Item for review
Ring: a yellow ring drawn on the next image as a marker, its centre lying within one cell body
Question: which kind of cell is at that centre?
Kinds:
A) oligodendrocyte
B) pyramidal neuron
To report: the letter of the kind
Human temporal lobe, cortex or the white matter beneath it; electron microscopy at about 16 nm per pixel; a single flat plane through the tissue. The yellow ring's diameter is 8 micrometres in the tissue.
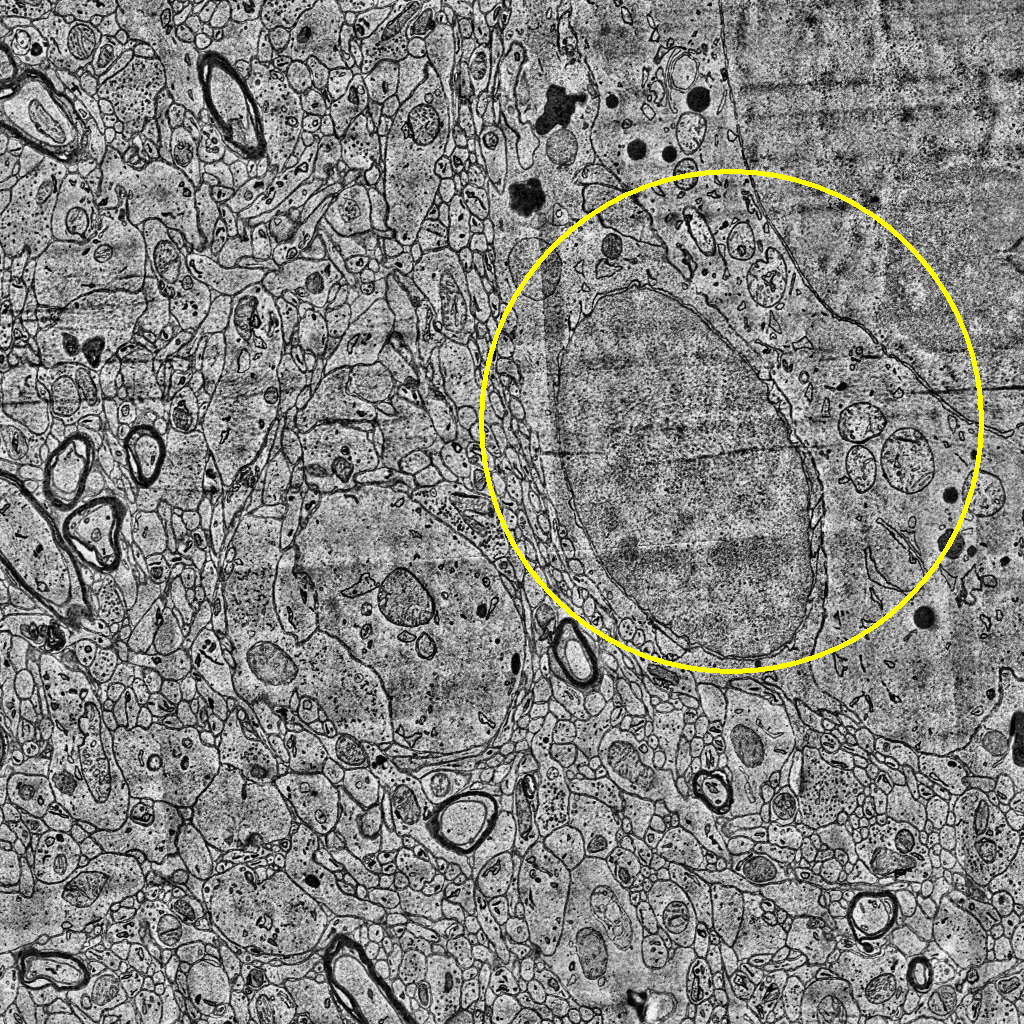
A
